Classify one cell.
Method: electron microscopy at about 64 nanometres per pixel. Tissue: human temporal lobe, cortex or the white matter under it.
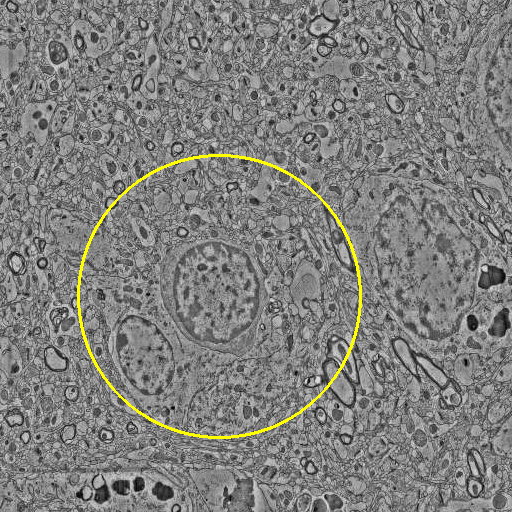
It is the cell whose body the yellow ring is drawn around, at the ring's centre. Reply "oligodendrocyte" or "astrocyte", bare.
oligodendrocyte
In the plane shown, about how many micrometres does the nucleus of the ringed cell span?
In this plane the nucleus is about 6 micrometres across.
